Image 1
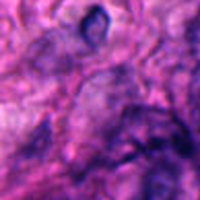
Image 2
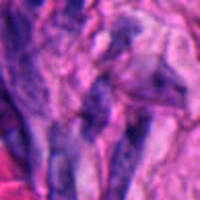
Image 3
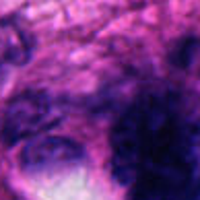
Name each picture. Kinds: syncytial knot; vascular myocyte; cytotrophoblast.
(1) cytotrophoblast
(2) vascular myocyte
(3) syncytial knot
